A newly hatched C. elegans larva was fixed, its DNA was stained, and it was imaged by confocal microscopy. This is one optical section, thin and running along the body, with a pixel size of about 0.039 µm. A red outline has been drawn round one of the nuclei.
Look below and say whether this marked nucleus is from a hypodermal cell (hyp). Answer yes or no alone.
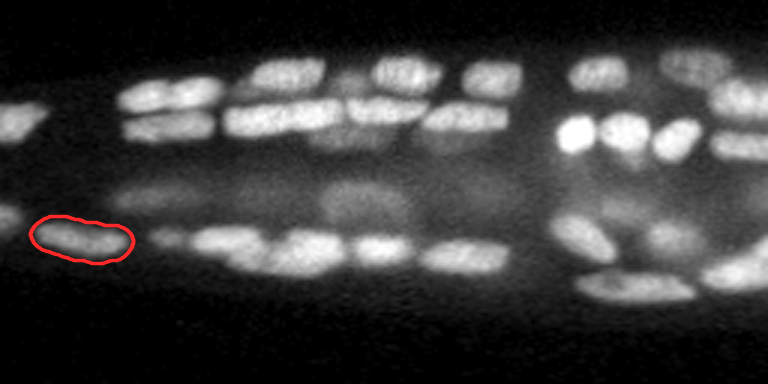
yes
